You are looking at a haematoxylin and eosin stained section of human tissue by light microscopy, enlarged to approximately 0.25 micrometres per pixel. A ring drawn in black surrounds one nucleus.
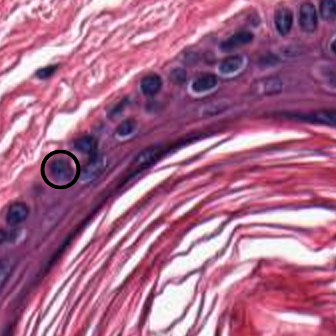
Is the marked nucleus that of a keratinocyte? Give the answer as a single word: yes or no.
yes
